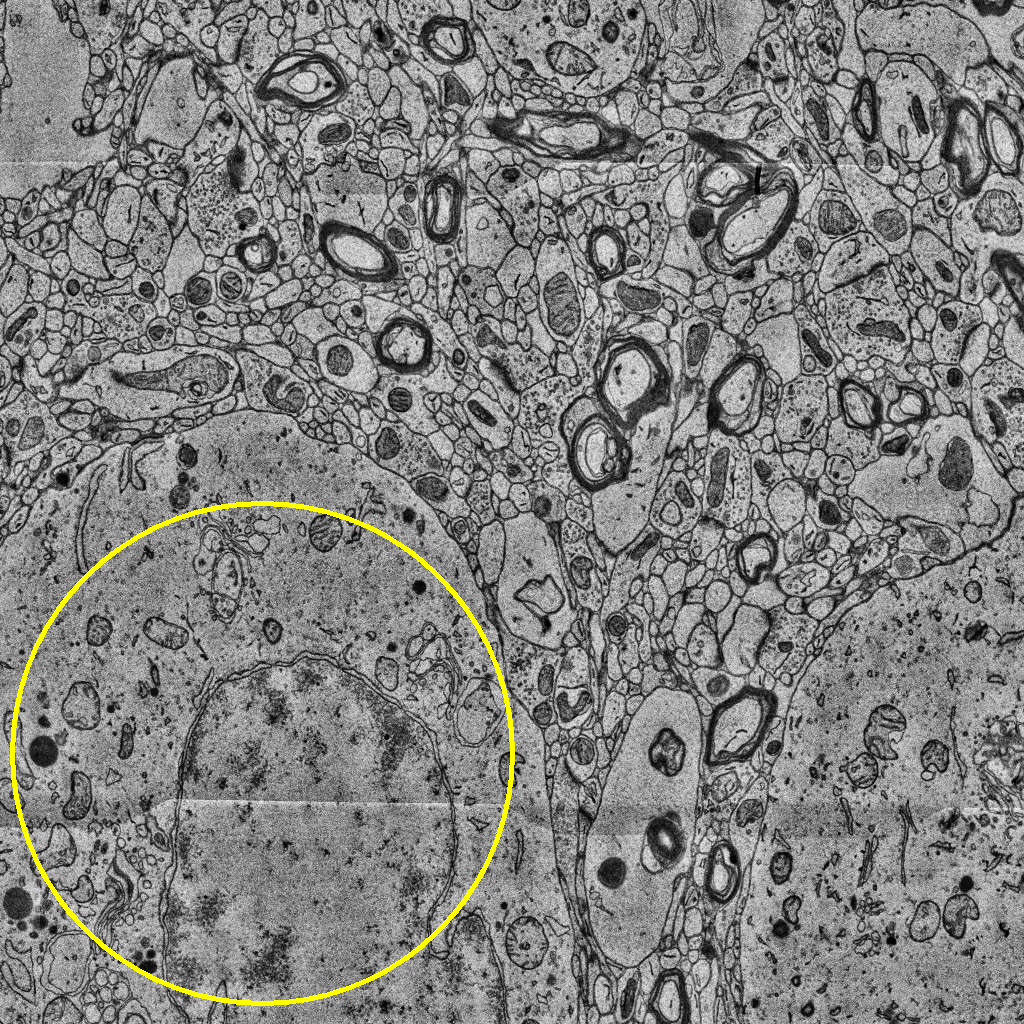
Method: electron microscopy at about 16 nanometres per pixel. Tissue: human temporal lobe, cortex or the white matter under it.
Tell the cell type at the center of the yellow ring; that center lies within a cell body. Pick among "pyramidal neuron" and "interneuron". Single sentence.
The ring's center lies in the body of an interneuron.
